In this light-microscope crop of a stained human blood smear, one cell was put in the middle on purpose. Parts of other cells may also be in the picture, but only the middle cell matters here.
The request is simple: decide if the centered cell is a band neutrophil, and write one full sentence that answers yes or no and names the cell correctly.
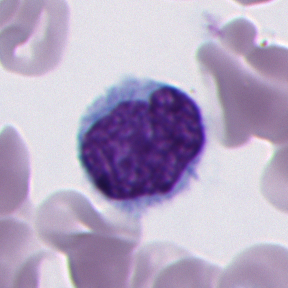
No, the centred cell is a monocyte, and it is not a band neutrophil.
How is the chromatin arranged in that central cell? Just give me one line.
The chromatin of this one is coarsely clumped.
